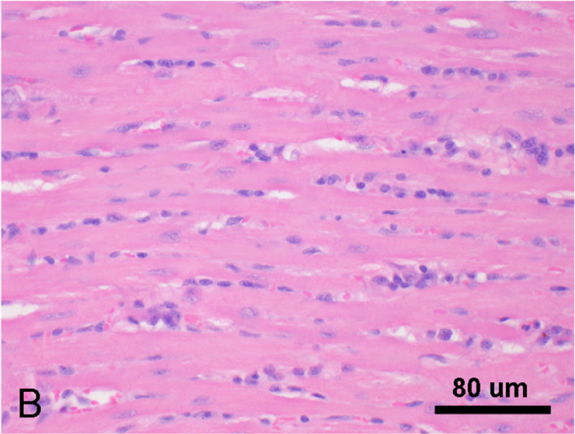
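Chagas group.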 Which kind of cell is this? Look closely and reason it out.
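Clusters of small round cells with dark purple nuclei lie in the spaces between the pink muscle fibres. These round nuclei are smaller and denser than the elongated nuclei of the muscle fibres. On this evidence: inflammatory cells.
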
